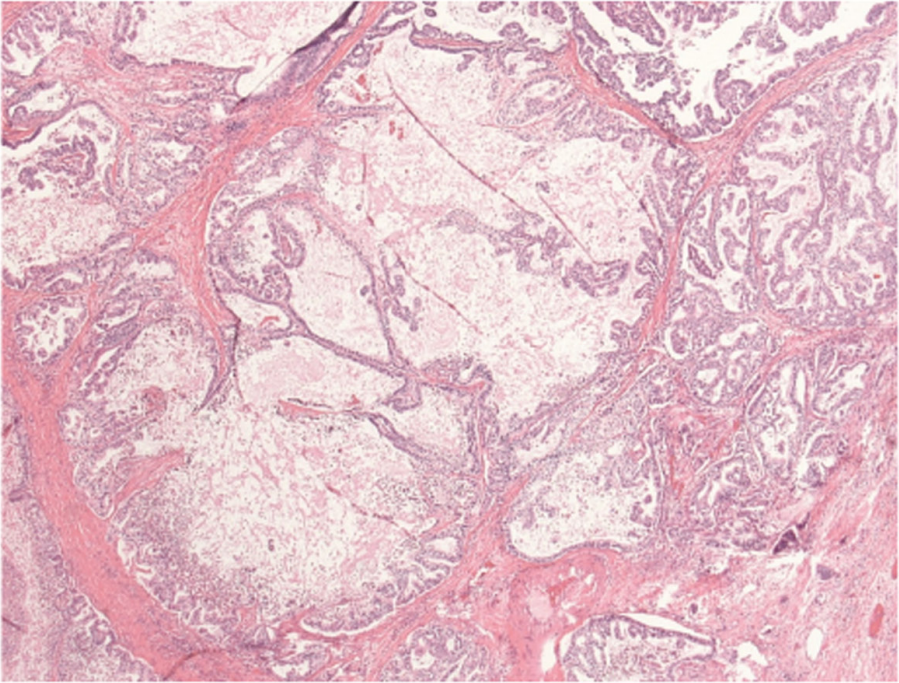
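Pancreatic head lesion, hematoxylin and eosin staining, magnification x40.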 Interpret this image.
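At low power this tumor is built of cysts separated by pink fibrous bands. Their walls carry branching papillary fronds lined by small, dark purple tumor cells. The cyst spaces are filled with pale, wispy, faintly pink mucus. In places the epithelium crowds into complex, gland-like folds.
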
